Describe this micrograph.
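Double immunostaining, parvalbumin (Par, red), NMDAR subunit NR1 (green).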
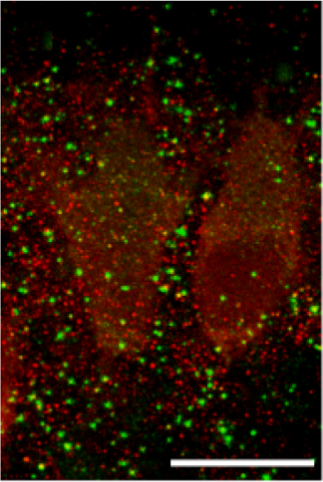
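Two large neuronal cell bodies with diffuse red fluorescence sit side by side, separated by a narrow gap. Their cytoplasm carries a fine, diffuse green haze with a few brighter green dots. Bright green puncta are scattered through the surrounding neuropil, mixed with many fine red dots, some appearing yellow where they overlap.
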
